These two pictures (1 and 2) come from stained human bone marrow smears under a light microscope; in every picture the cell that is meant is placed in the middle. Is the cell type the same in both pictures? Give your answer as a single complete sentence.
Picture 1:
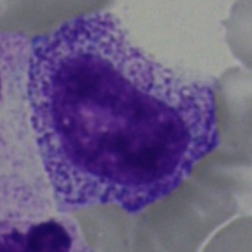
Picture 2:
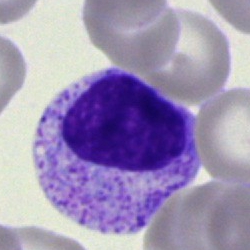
Yes, the two pictures both show myelocytes.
